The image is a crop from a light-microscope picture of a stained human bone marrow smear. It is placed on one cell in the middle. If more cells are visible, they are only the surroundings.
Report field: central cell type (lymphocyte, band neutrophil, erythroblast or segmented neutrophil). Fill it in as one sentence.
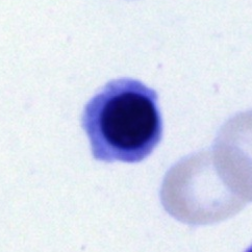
In the center of this field lies an erythroblast.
